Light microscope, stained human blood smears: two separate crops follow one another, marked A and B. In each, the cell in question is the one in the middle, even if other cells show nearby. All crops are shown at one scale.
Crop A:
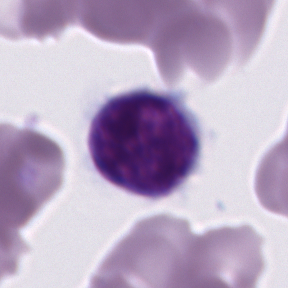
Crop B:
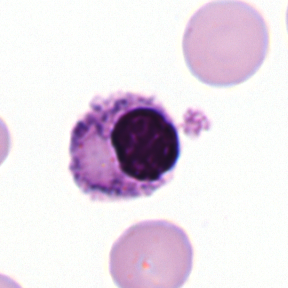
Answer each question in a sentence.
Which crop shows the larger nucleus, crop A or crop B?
It is the nucleus in crop A, about 2 times as large in area as the one in crop B.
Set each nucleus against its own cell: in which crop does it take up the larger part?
In crop A the nucleus takes up the larger part of its cell.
